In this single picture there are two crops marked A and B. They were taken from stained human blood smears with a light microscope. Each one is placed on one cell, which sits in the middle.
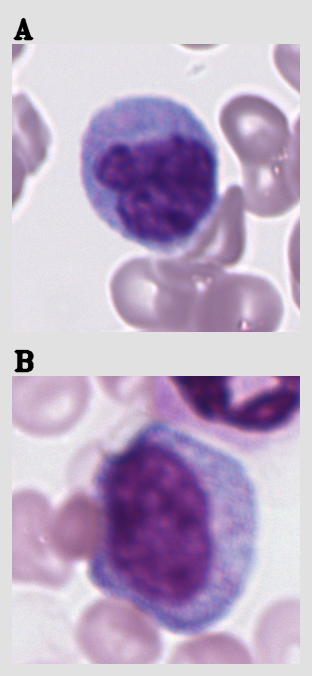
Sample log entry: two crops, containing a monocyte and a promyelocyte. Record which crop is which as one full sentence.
The cell that crop A centres on is a monocyte, and the cell that crop B centres on is a promyelocyte.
